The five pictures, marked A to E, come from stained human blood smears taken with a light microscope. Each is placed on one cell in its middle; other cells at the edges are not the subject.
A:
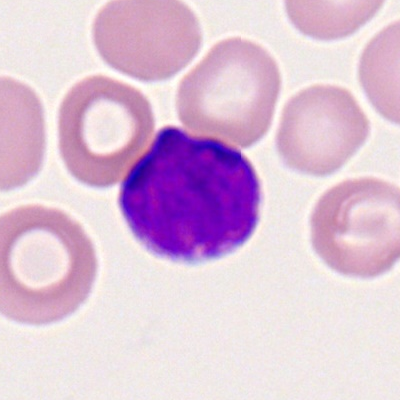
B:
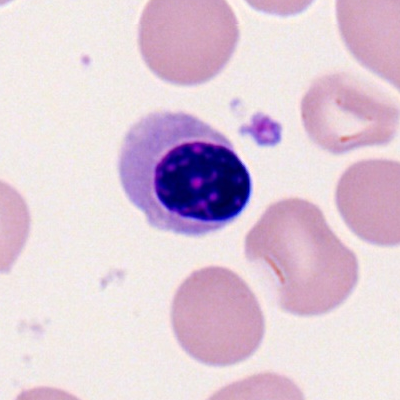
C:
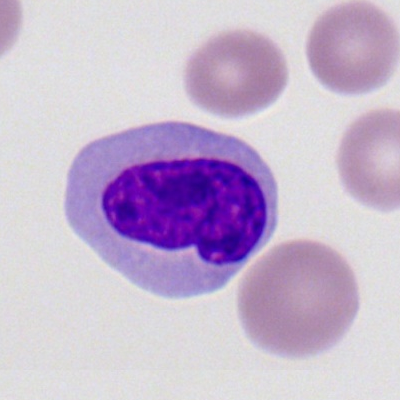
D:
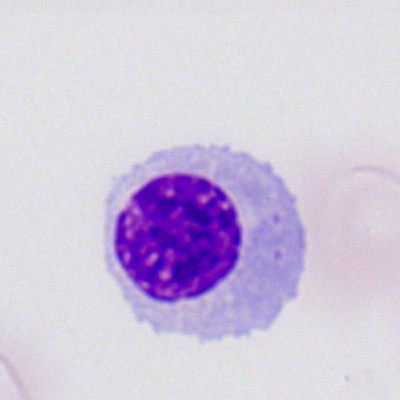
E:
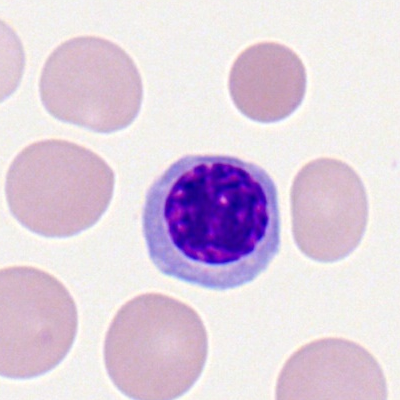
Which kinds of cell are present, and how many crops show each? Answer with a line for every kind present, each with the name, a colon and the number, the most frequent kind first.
erythroblast: 4
myeloblast: 1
